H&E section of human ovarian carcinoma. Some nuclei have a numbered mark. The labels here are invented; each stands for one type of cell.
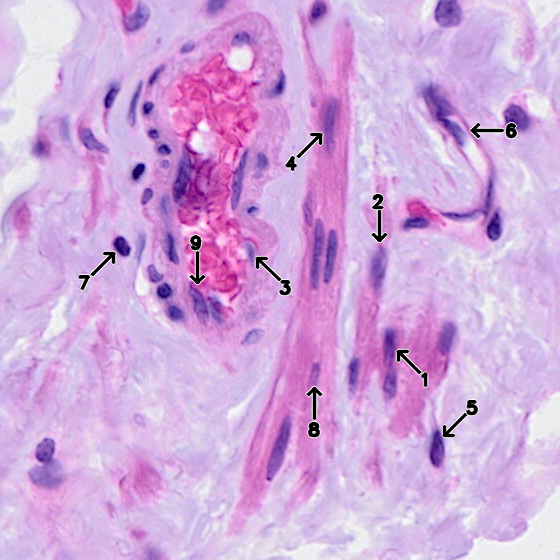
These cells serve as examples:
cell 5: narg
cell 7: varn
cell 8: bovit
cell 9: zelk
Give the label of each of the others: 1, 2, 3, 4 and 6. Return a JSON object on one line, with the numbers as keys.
{"1": "bovit", "2": "bovit", "3": "zelk", "4": "bovit", "6": "zelk"}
